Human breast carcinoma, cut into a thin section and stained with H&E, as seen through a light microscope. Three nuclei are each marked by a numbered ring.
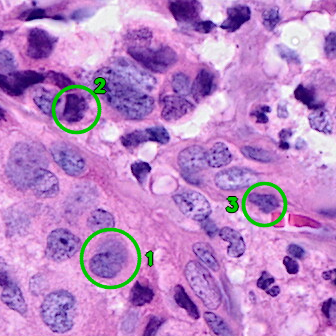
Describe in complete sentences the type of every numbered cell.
Cell 1 is a carcinoma cell, cell 2 is a carcinoma cell and cell 3 is an endothelial cell.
